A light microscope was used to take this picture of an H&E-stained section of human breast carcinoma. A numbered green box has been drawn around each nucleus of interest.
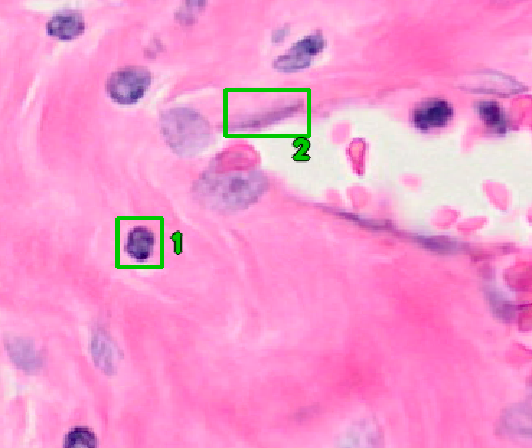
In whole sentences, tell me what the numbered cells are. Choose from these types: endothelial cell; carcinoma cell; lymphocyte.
Cell 1 is a lymphocyte and cell 2 is an endothelial cell.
